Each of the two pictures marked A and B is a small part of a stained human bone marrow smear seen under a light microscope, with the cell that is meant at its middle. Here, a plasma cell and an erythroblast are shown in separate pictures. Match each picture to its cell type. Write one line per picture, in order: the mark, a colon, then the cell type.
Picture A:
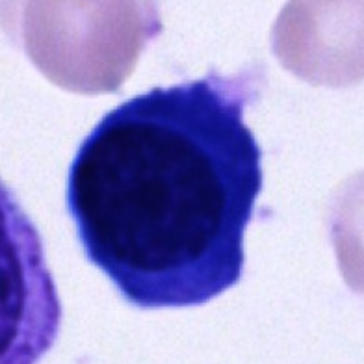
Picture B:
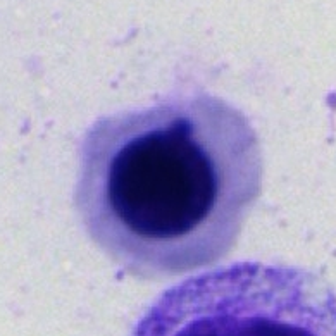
A: plasma cell
B: erythroblast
